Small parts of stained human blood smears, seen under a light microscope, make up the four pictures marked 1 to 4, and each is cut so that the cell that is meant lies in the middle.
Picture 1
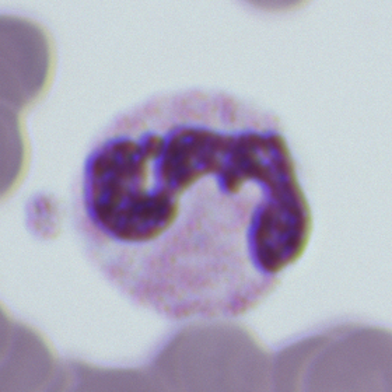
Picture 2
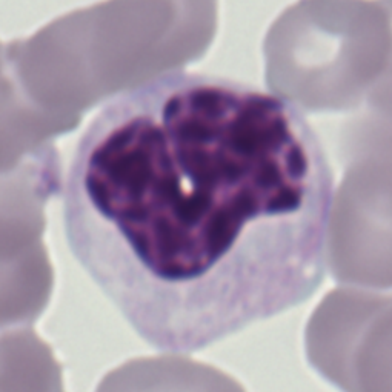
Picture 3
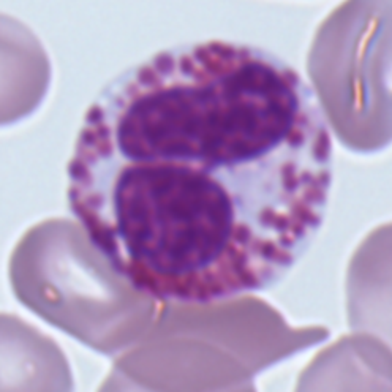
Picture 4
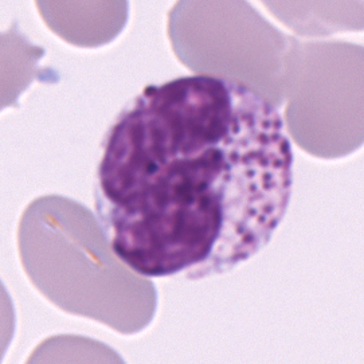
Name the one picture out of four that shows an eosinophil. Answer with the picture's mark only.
3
